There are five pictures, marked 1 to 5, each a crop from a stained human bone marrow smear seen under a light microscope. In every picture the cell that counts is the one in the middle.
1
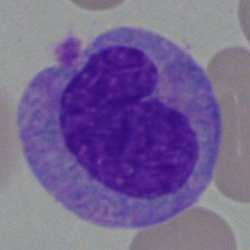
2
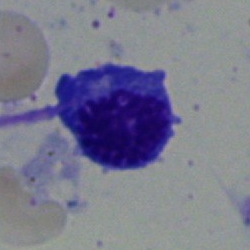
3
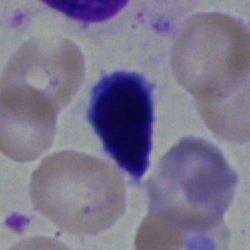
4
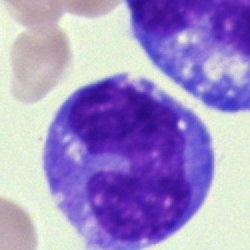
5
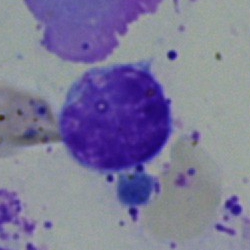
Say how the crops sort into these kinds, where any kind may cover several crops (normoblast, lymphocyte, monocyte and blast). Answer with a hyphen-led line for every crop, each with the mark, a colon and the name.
- 1: monocyte
- 2: normoblast
- 3: lymphocyte
- 4: monocyte
- 5: lymphocyte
